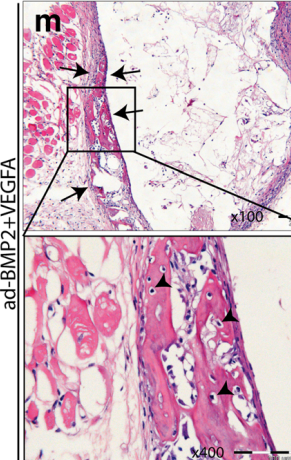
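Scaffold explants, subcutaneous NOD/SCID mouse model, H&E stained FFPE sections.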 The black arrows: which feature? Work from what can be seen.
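Bony structures. The arrows point to a dense, deep pink band of matrix at the edge of the explant. The band is more eosinophilic and compact than the pale scaffold material inside.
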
